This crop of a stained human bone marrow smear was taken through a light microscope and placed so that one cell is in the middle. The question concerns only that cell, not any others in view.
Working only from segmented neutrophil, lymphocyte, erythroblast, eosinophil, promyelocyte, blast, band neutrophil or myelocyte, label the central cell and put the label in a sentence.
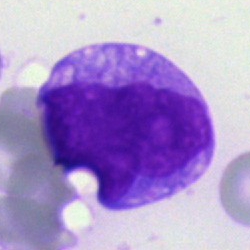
Framed in the middle of the crop is a blast.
